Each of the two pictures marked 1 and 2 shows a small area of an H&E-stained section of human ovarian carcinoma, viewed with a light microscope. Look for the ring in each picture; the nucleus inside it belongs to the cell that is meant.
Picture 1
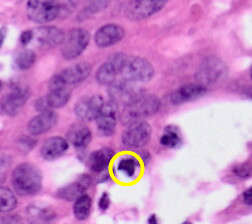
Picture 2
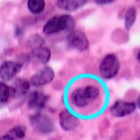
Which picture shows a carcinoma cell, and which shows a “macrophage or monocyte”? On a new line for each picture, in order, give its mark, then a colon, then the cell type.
1: carcinoma cell
2: macrophage or monocyte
